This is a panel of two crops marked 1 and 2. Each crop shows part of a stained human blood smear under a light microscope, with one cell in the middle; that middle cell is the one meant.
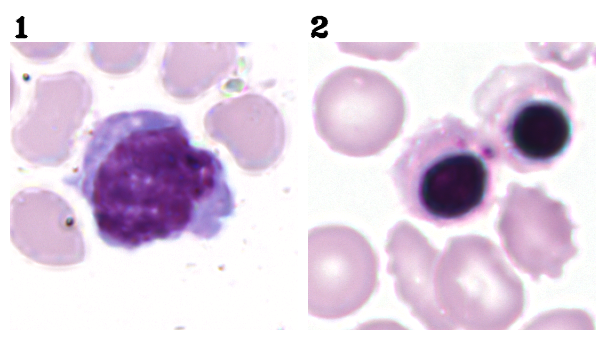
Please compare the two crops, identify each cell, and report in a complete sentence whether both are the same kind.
No, crop 1 has a plasma cell at its center, and crop 2 has an erythroblast.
